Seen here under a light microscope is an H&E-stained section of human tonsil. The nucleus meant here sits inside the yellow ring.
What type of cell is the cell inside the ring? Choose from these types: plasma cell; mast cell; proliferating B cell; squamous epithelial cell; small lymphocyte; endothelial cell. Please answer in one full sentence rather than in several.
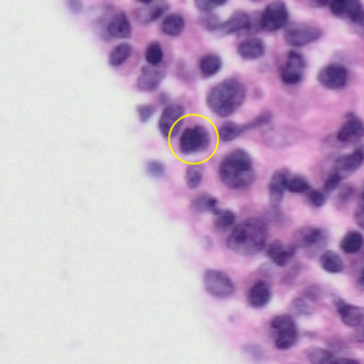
In the tissue at hand, the cell inside the ring is a proliferating B cell.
